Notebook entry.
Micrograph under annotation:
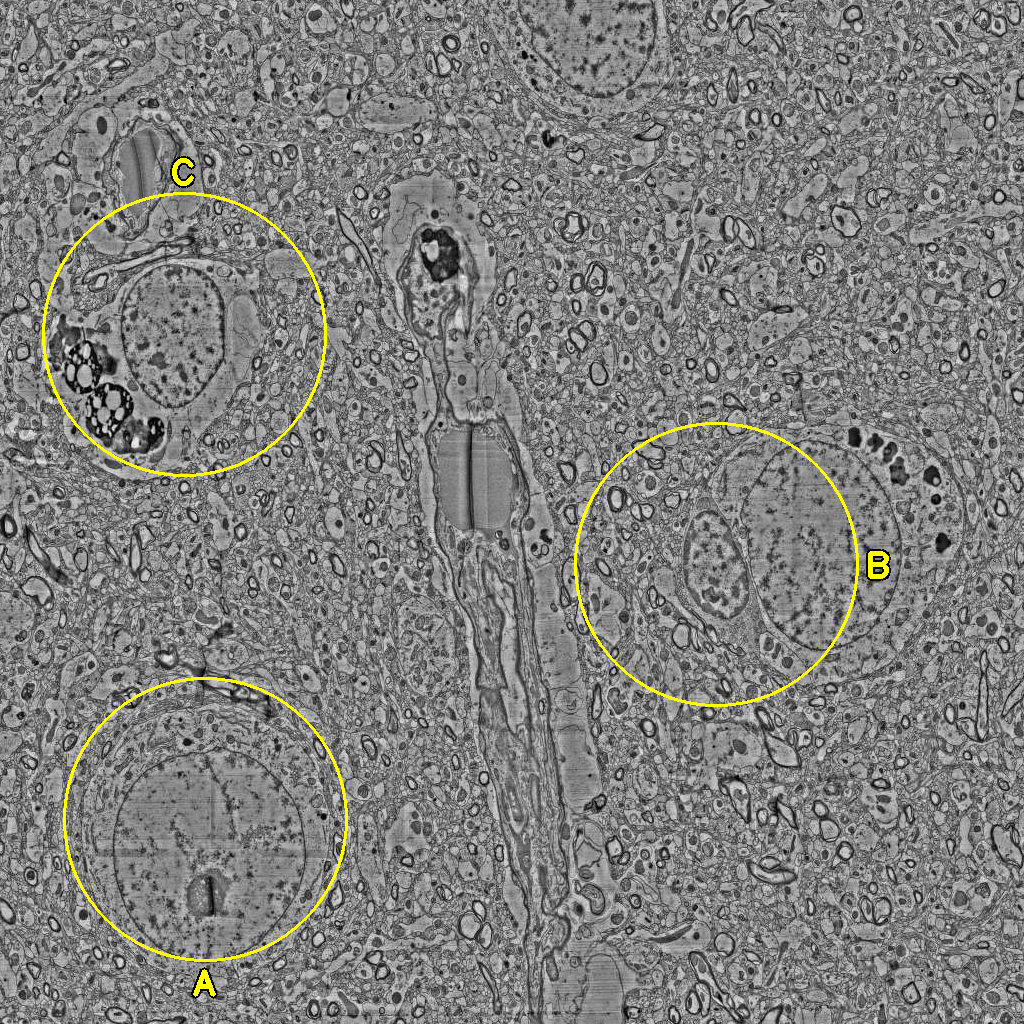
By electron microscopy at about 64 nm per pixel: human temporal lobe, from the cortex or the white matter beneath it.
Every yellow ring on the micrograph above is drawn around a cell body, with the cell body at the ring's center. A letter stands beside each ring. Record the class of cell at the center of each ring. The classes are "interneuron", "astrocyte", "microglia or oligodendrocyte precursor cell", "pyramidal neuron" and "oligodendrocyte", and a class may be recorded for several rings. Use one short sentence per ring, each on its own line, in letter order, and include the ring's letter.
Ring A is centered on a pyramidal neuron.
Ring B is centered on an oligodendrocyte.
Ring C is centered on an astrocyte.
